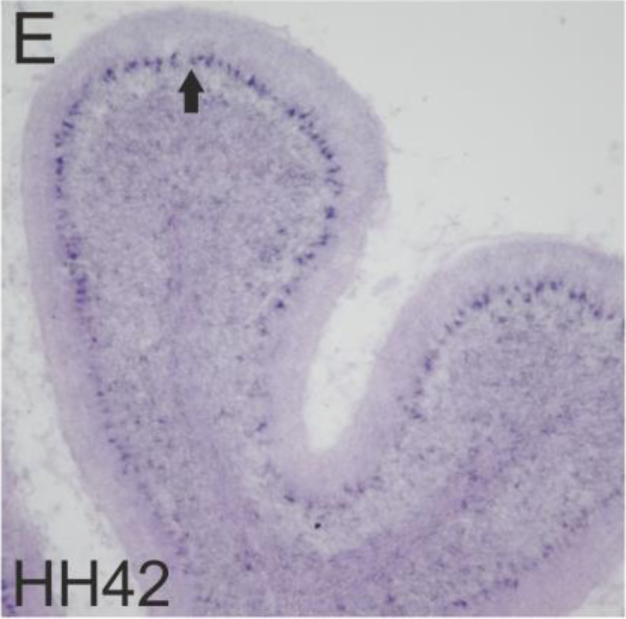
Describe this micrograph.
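Cerebellar folia with a single row of Purkinje cells marked by dark purple label. The labelled cell bodies are spaced along a thin line that follows the outline of each folium. Outside this row lies a pale, nearly unlabelled outer layer. Inside lies a denser, faintly grey core of tissue. Two folia are seen, separated by a fissure.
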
